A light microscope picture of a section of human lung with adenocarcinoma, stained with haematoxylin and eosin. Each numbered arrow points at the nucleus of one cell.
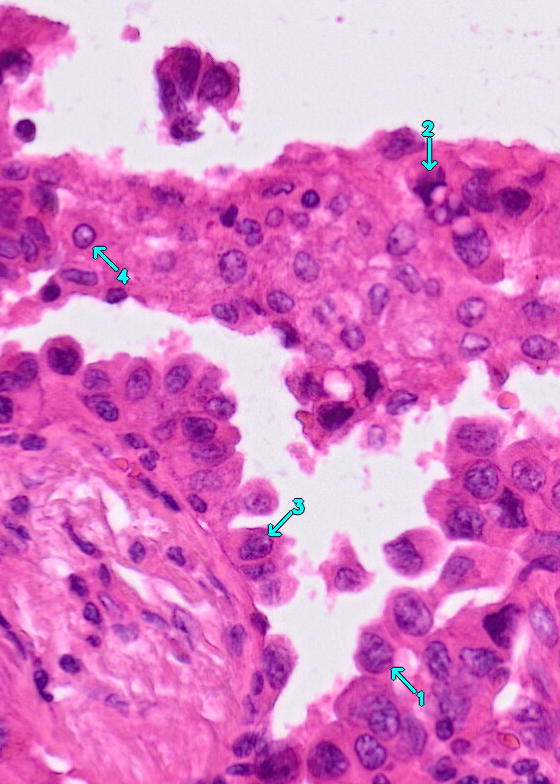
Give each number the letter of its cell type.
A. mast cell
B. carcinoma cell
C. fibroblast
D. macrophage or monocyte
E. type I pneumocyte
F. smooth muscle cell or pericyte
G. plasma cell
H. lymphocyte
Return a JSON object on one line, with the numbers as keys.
{"1": "B", "2": "B", "3": "B", "4": "D"}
